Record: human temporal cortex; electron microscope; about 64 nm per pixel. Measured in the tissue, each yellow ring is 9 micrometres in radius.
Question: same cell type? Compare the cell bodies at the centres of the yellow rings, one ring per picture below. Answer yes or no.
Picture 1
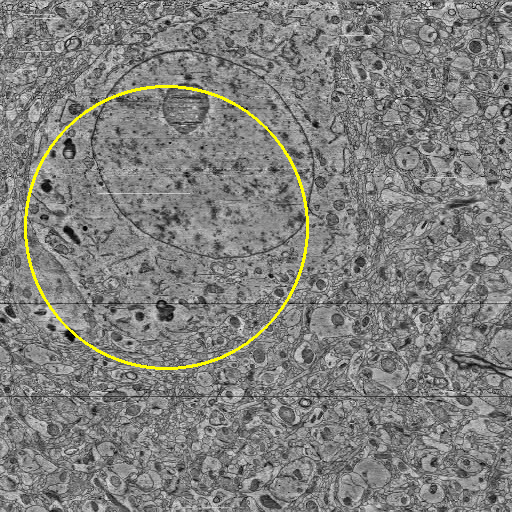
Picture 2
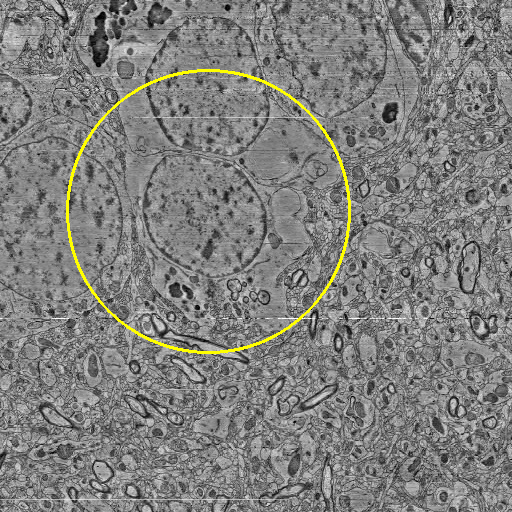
no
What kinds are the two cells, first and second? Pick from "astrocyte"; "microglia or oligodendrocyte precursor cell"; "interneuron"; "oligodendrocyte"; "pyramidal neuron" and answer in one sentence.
The second picture holds an astrocyte in its ring, and the first holds a pyramidal neuron.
